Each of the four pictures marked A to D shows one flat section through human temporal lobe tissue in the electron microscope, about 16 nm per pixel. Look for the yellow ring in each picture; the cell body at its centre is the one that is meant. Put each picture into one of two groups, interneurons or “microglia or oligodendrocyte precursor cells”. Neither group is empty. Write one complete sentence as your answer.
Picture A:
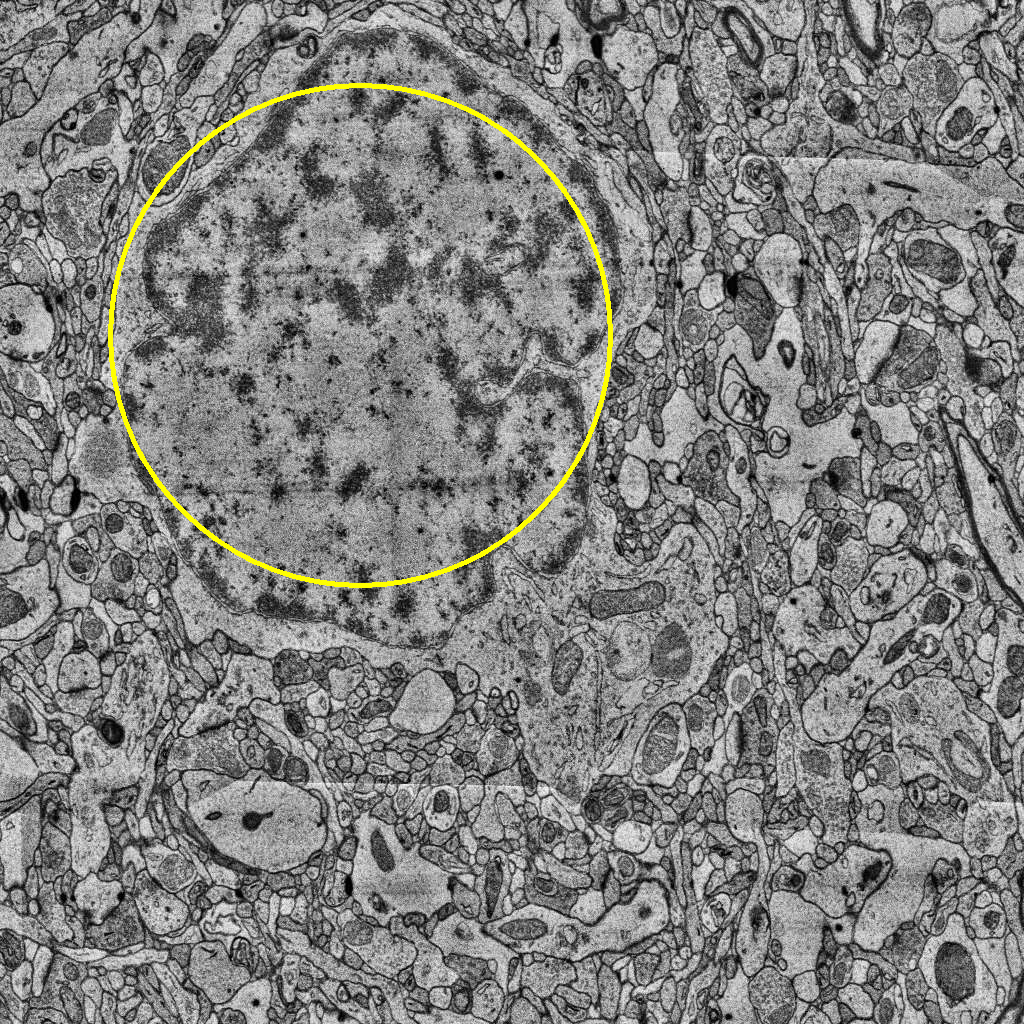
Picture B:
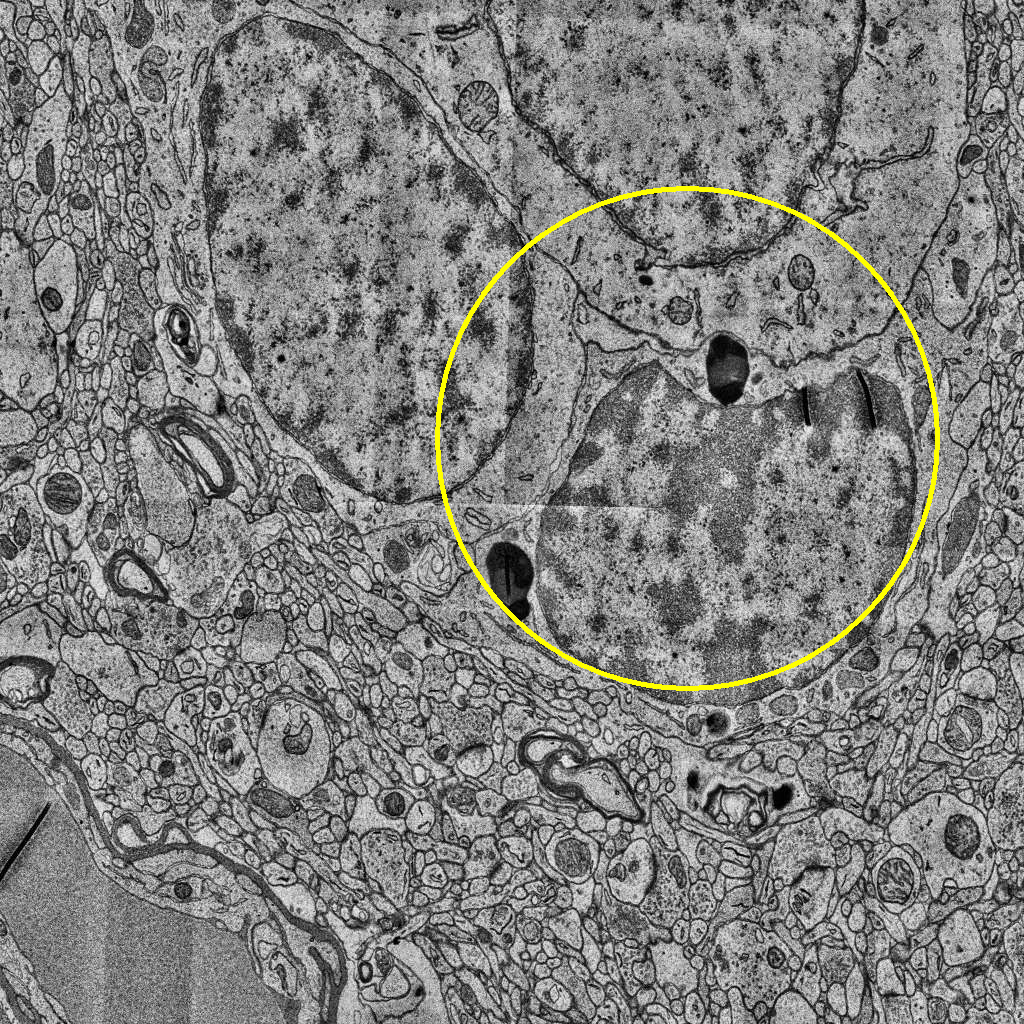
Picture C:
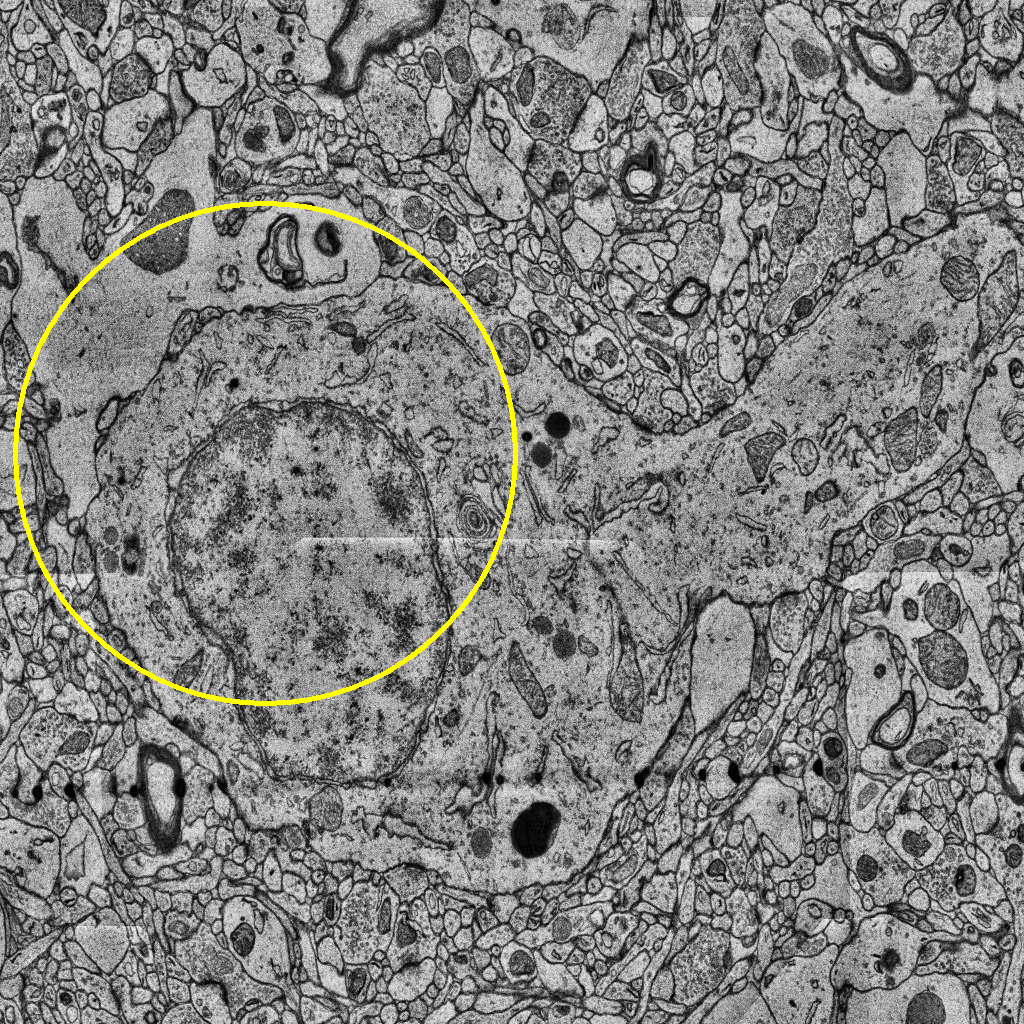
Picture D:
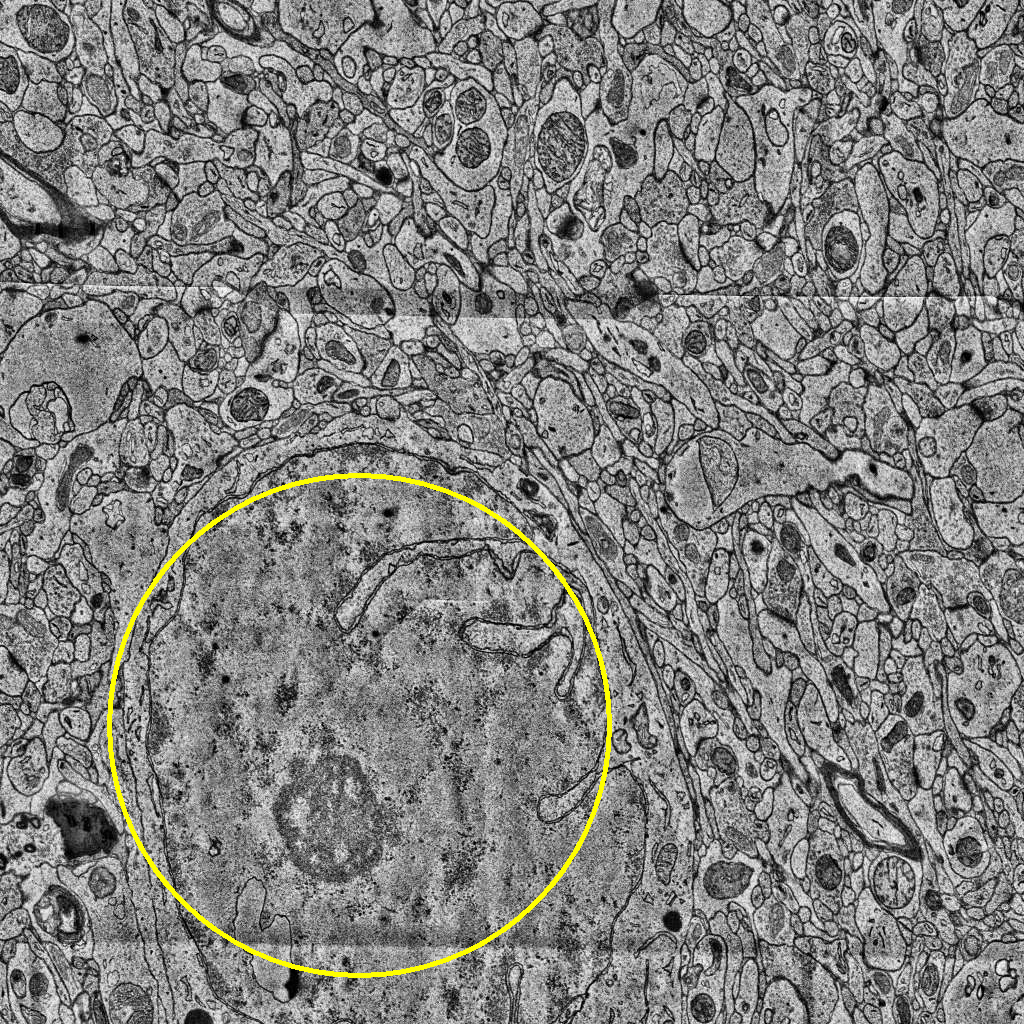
Pictures C and D show interneurons, and pictures A and B show “microglia or oligodendrocyte precursor cells”.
